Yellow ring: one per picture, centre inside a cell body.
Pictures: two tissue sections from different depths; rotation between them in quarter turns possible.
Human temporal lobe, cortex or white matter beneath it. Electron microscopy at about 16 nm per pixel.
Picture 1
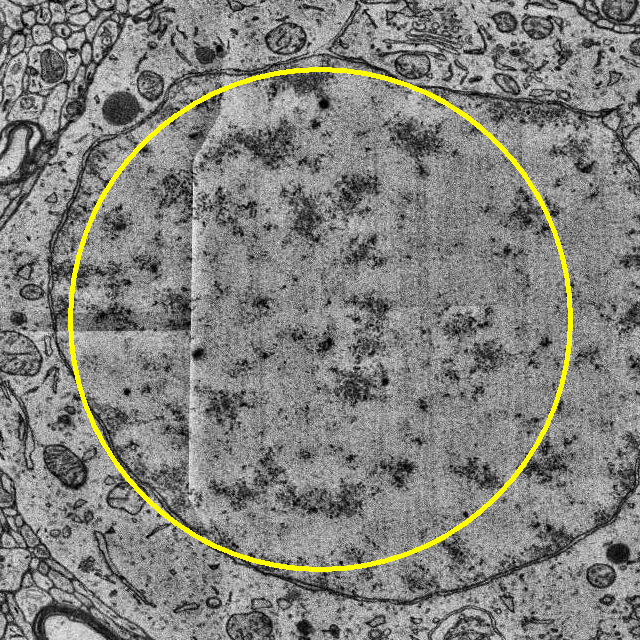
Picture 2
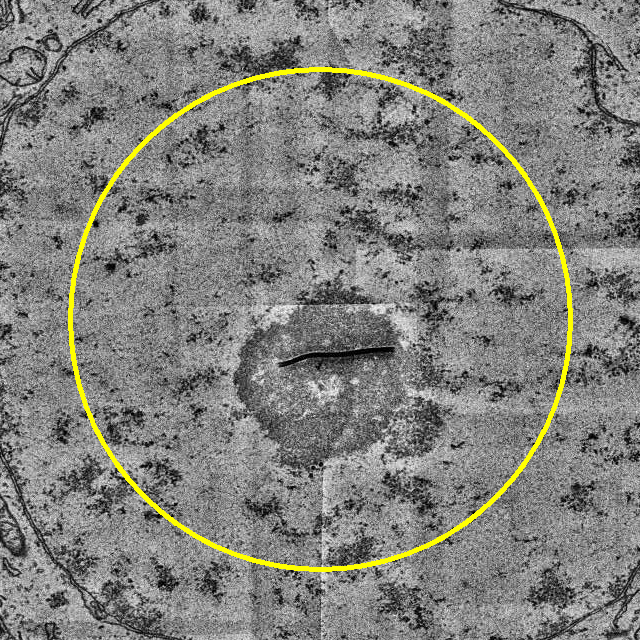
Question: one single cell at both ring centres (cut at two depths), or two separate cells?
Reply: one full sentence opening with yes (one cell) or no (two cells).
Yes, the cell inside the first ring is the cell inside the second.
